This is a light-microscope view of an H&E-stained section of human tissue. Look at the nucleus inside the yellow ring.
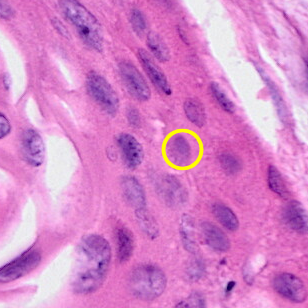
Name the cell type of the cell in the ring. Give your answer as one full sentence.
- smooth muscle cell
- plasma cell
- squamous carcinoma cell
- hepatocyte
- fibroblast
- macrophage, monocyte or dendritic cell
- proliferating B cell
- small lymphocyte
Within the stained tissue, the cell in the ring is a squamous carcinoma cell.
